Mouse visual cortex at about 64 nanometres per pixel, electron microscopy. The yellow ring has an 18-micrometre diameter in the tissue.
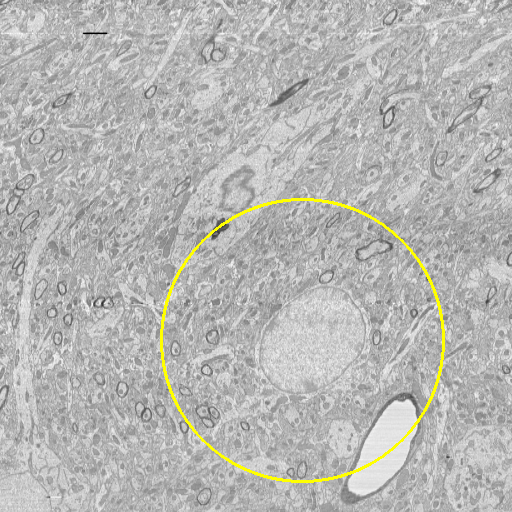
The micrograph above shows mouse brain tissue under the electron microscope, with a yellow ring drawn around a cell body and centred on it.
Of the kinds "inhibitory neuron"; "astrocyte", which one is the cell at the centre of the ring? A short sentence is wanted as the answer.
The one at the centre of the ring is an astrocyte.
